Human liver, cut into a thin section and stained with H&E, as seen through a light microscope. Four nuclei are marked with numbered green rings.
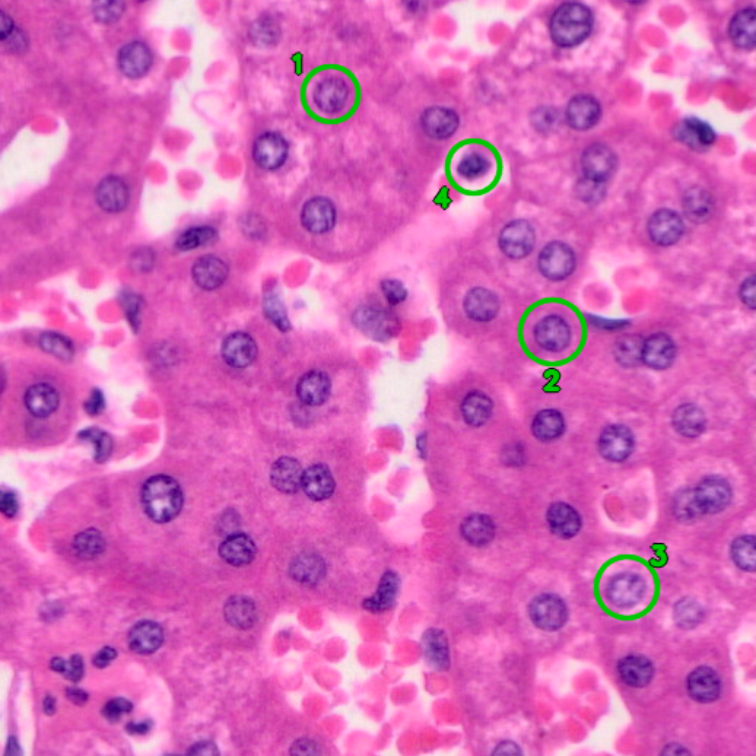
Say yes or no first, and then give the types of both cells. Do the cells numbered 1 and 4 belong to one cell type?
No, cell 1 is a hepatocyte and cell 4 is a lymphocyte.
